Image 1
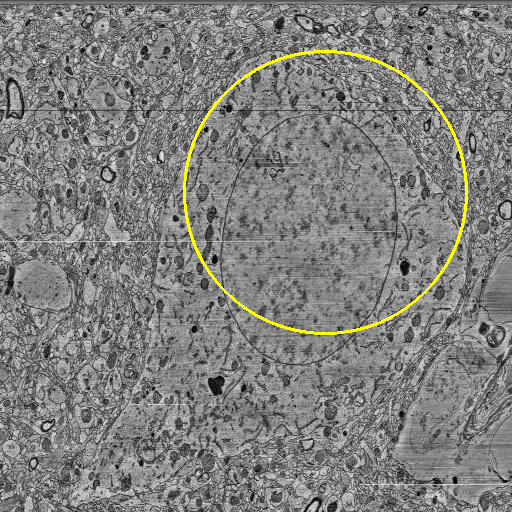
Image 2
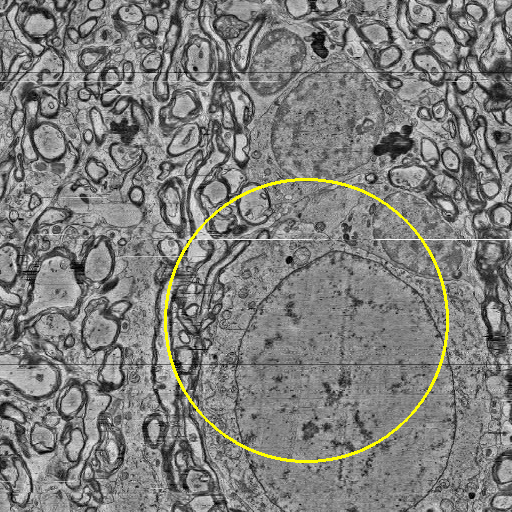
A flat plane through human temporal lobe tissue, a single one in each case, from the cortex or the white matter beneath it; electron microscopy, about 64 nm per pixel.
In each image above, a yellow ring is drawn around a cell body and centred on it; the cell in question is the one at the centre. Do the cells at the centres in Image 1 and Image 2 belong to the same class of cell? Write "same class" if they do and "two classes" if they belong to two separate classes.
same class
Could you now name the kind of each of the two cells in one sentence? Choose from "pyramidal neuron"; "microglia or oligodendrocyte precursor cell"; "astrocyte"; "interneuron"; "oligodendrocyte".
Each one of the two ringed cells is a pyramidal neuron.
